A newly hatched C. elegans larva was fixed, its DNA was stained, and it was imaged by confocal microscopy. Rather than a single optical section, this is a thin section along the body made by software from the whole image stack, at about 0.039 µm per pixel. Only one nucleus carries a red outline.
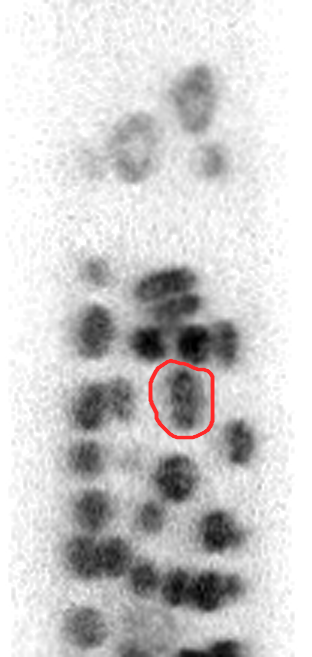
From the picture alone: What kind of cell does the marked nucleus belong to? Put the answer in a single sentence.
This is the nucleus of a pharyngeal marginal cell.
